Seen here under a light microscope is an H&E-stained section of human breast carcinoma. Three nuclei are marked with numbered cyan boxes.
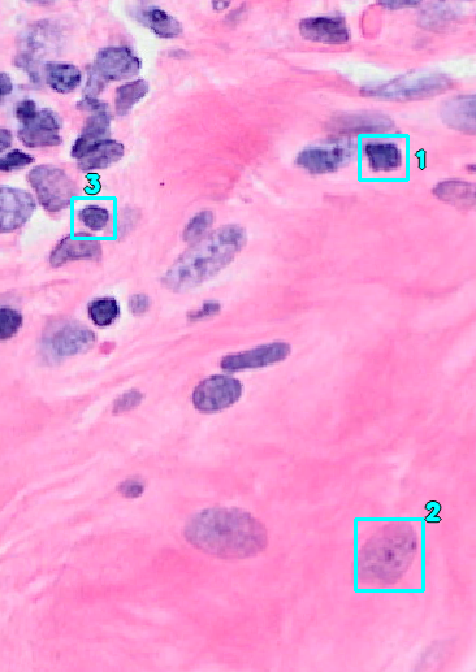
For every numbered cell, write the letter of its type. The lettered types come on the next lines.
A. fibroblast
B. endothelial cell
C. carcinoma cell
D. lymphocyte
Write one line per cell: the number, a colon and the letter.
1: D
2: A
3: D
